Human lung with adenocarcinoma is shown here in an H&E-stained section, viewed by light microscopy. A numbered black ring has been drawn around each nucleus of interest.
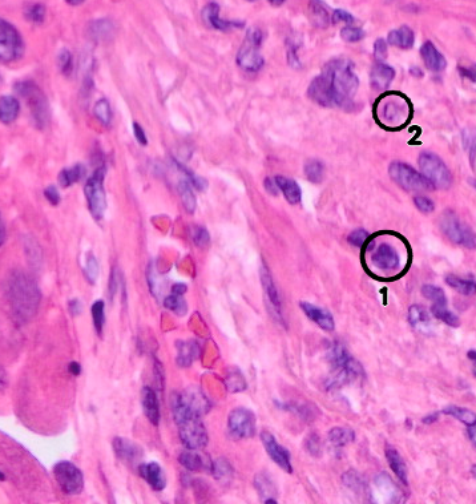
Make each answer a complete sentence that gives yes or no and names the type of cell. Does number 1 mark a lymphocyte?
Yes, cell number 1 is identified here as a lymphocyte.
